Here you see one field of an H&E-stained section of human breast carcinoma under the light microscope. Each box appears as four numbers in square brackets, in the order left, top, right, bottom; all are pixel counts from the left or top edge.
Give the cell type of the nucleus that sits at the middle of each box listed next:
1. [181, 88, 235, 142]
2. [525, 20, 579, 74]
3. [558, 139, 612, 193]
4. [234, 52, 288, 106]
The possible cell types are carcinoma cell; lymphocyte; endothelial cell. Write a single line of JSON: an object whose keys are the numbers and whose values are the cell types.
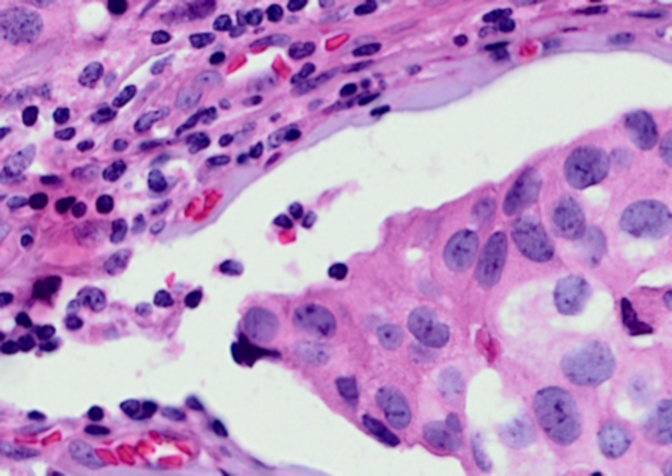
{"1": "lymphocyte", "2": "endothelial cell", "3": "carcinoma cell", "4": "endothelial cell"}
